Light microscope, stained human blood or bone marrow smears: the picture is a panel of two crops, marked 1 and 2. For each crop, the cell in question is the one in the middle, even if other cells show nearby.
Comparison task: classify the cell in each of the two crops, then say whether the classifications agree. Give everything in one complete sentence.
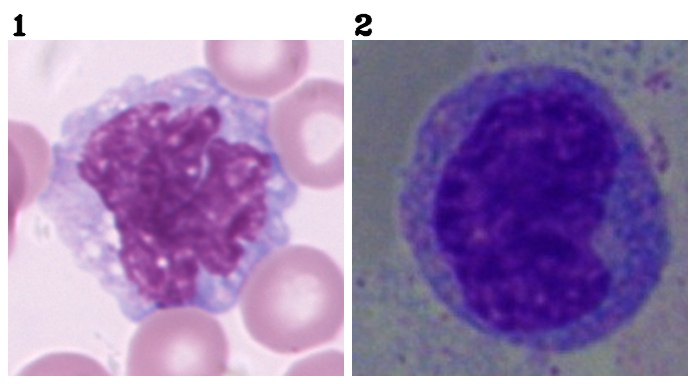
Yes, the cells of interest in both crops are monocytes.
